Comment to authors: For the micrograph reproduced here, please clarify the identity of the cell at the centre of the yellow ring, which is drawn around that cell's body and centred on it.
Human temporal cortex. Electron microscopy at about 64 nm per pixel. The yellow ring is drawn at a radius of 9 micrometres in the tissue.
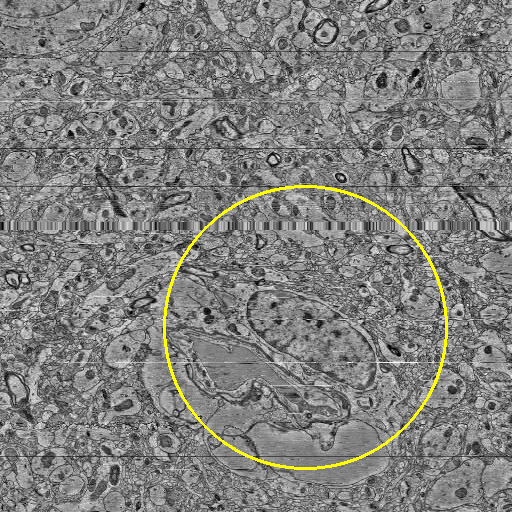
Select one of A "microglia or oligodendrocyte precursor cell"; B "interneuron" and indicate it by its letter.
A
